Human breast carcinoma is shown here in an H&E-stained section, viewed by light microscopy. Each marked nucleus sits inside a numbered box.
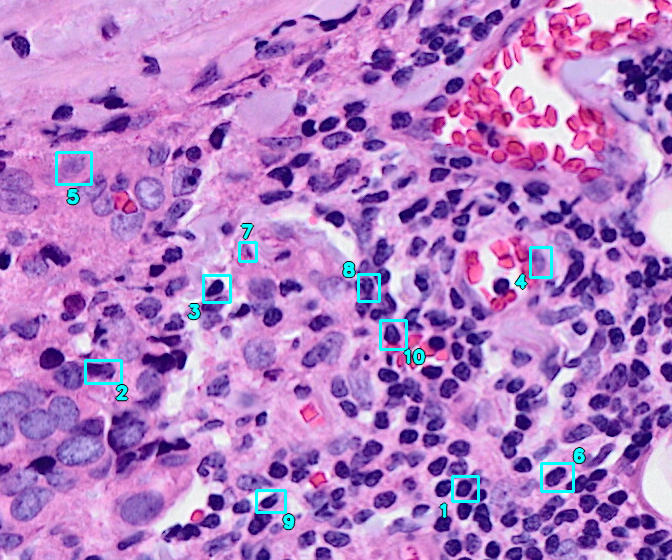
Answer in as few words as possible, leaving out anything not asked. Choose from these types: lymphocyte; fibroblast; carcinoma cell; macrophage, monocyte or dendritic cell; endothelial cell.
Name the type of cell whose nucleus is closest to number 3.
macrophage, monocyte or dendritic cell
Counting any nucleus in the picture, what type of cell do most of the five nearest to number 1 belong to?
lymphocyte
